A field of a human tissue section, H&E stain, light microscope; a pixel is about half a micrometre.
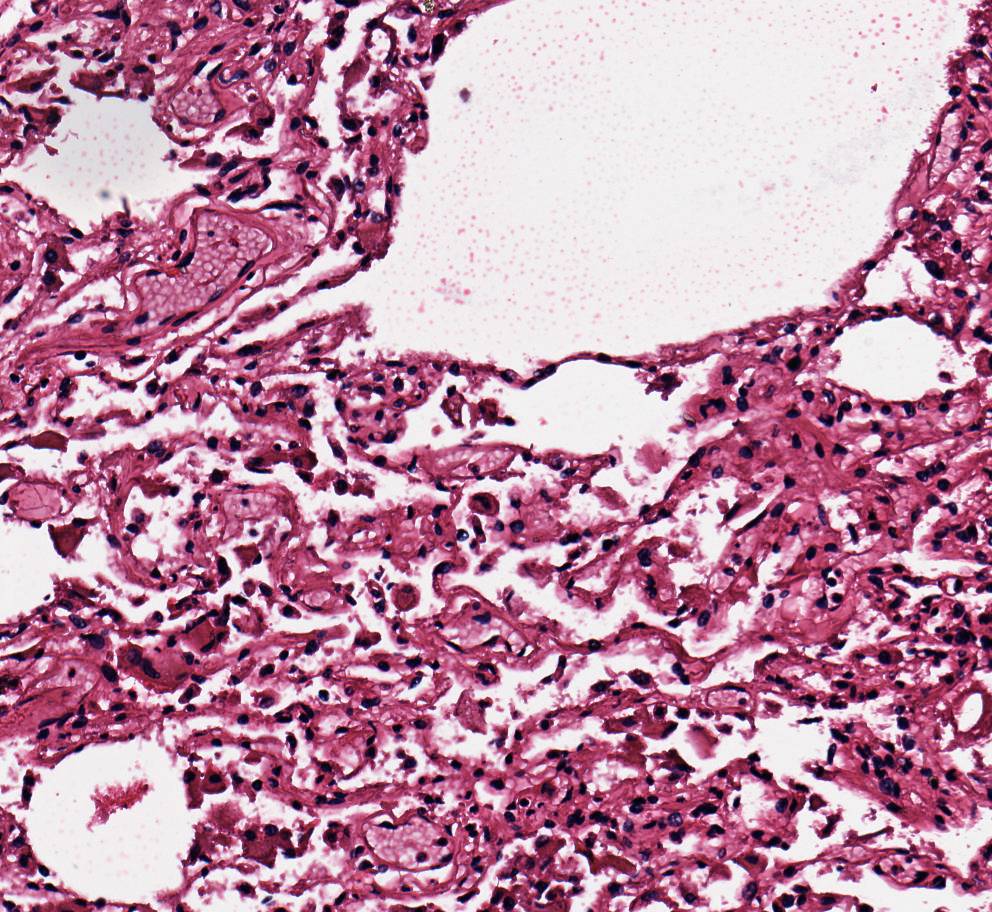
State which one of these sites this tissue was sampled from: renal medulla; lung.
lung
